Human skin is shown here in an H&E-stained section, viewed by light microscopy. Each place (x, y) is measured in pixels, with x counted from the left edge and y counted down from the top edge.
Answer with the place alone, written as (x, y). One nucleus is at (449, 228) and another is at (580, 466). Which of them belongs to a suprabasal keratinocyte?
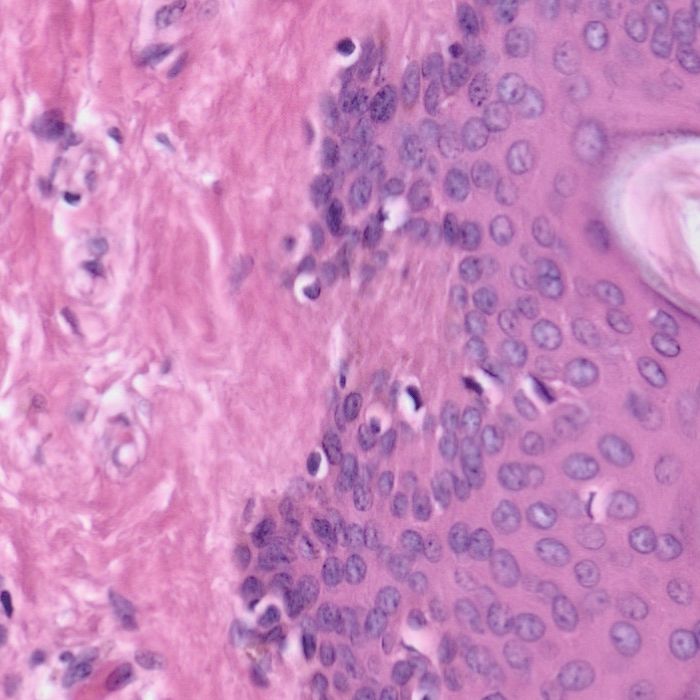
(580, 466)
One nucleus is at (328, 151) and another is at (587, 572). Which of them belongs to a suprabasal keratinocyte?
(587, 572)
